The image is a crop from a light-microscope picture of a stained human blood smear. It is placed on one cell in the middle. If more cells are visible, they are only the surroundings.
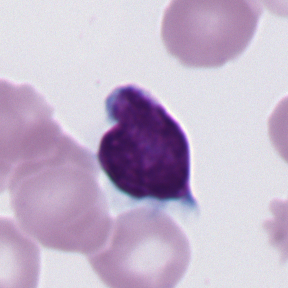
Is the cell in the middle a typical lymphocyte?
yes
